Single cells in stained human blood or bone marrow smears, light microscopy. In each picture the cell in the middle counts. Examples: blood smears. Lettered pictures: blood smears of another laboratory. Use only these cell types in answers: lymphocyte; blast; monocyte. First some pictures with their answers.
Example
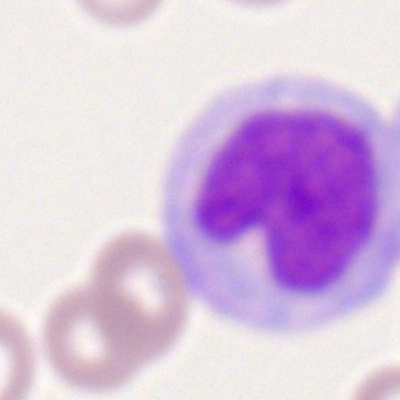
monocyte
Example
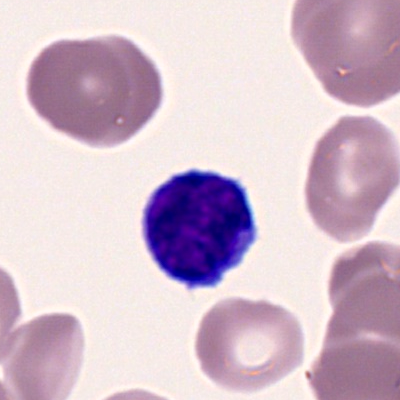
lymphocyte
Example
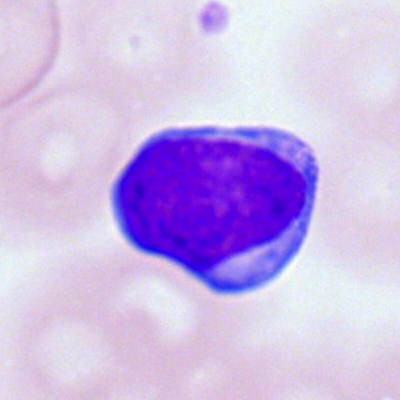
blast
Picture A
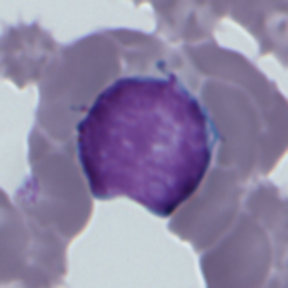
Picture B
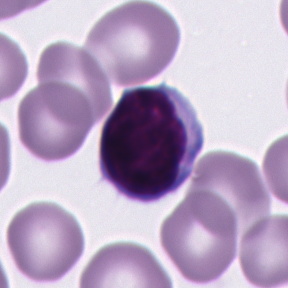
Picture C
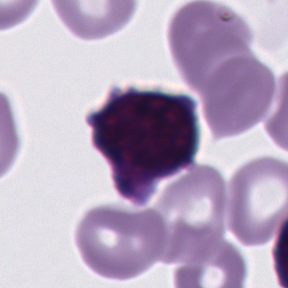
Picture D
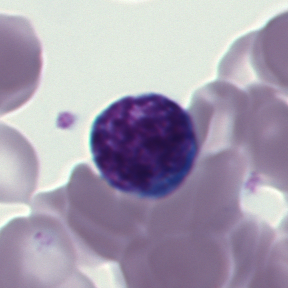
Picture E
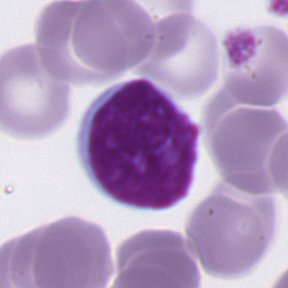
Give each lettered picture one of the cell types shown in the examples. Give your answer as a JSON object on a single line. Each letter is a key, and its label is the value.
{"A": "lymphocyte", "B": "lymphocyte", "C": "blast", "D": "lymphocyte", "E": "lymphocyte"}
